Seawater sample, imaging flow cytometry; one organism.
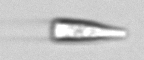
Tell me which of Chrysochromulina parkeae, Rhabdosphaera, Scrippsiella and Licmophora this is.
The picture shows Licmophora.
